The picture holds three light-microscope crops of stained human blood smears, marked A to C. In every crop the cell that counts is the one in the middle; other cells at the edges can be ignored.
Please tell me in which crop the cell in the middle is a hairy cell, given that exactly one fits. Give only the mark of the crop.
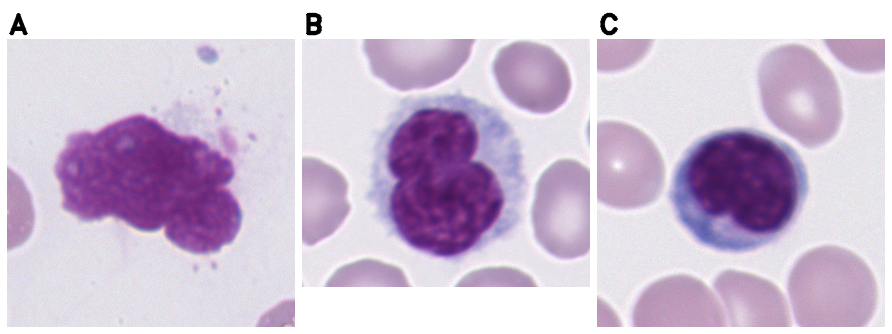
B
